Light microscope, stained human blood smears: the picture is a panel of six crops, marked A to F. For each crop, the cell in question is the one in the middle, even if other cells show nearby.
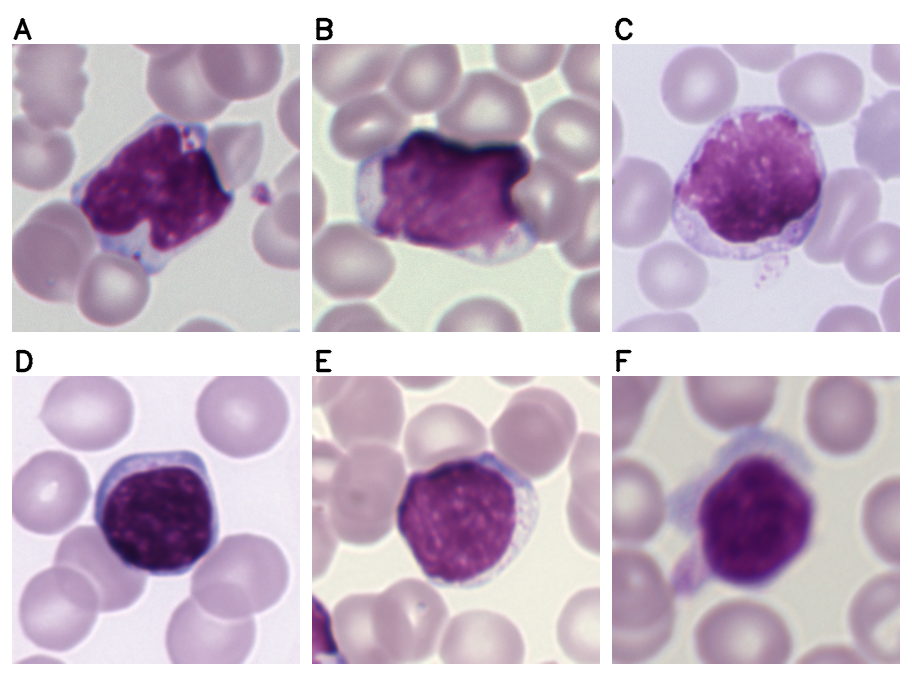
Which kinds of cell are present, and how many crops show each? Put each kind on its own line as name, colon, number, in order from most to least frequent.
large granular lymphocyte: 4
typical lymphocyte: 2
